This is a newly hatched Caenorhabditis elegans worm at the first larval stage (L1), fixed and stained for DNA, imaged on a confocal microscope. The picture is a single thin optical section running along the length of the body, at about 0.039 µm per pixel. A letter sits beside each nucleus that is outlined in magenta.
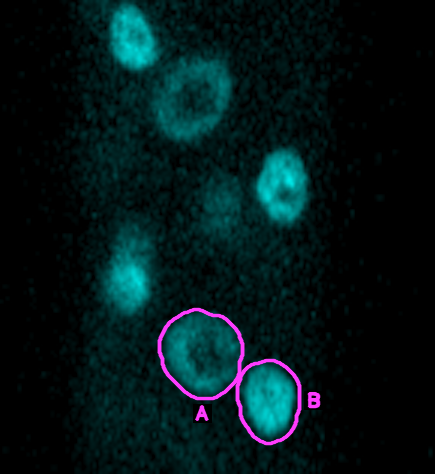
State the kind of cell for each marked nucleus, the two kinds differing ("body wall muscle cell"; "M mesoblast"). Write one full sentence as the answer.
One is from an M mesoblast, namely A, and the other, B, is from a body wall muscle cell.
